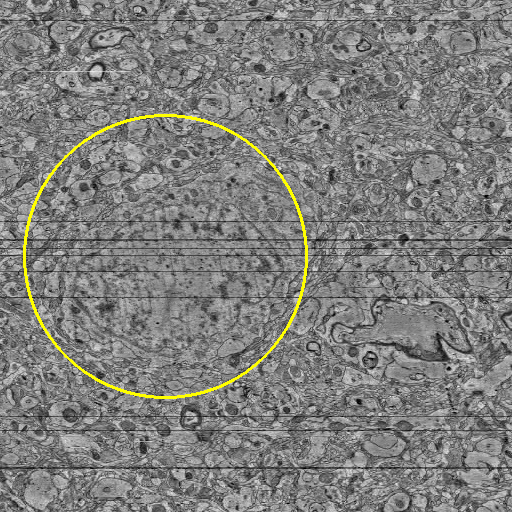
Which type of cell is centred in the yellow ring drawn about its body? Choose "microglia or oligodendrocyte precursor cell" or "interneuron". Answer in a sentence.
The yellow ring surrounds the cell body of an interneuron.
